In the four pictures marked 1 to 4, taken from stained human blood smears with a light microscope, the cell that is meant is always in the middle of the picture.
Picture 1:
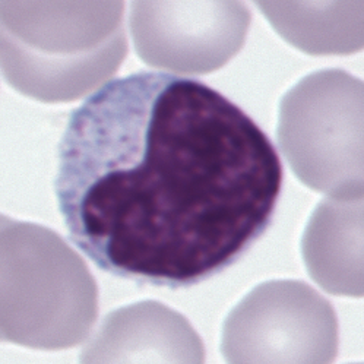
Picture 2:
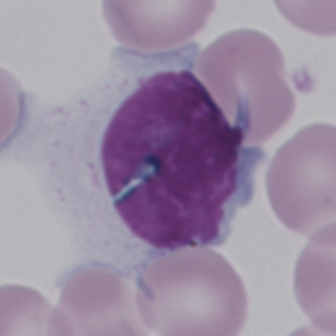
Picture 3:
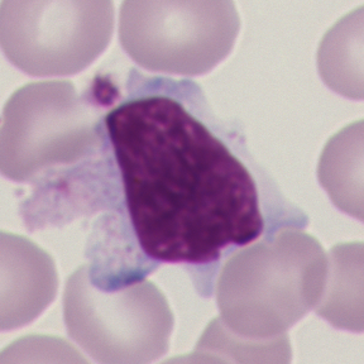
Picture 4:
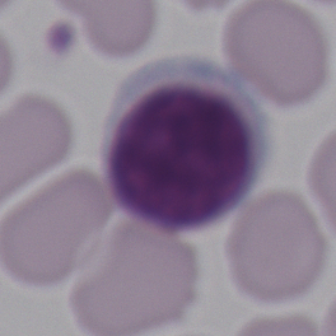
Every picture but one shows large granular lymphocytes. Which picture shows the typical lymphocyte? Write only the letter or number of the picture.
4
